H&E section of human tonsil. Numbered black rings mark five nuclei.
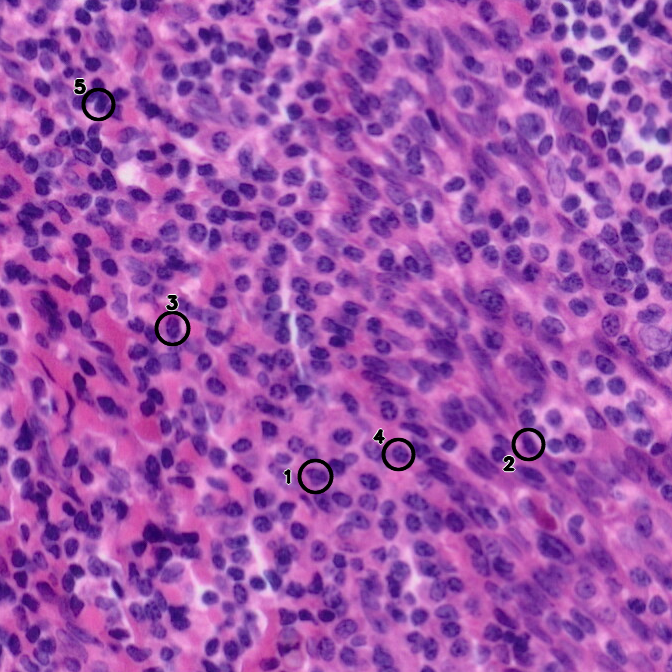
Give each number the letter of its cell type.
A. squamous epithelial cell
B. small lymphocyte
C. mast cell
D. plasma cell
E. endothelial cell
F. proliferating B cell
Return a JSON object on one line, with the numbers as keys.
{"1": "D", "2": "A", "3": "D", "4": "D", "5": "B"}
